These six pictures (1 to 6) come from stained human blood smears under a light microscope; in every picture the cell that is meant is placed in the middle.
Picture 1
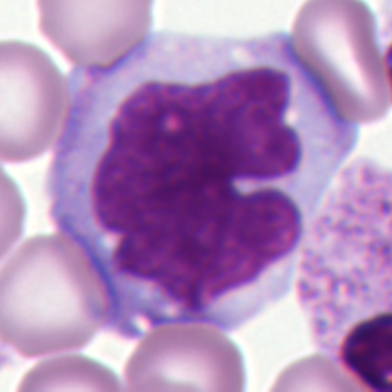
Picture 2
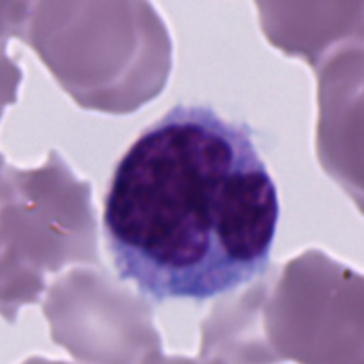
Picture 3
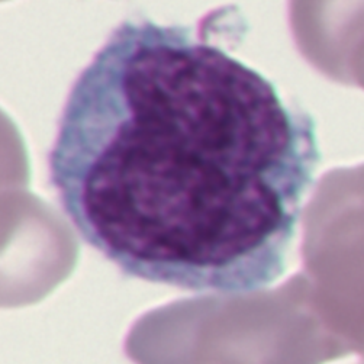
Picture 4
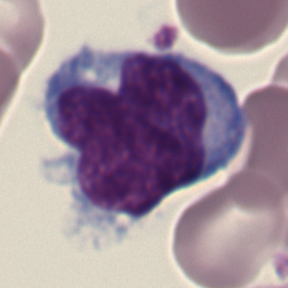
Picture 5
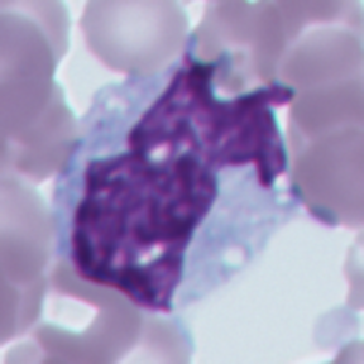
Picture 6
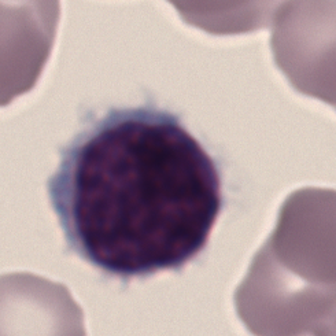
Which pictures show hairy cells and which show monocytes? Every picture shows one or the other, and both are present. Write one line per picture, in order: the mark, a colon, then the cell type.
1: monocyte
2: hairy cell
3: monocyte
4: monocyte
5: monocyte
6: hairy cell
